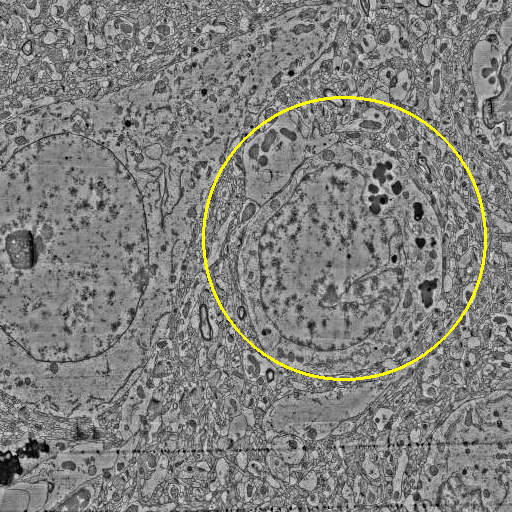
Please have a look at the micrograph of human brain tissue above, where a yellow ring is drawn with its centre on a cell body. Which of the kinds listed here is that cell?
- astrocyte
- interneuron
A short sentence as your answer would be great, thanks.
At the centre of the ring sits an interneuron.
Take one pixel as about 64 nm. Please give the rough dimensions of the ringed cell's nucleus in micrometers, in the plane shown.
In this plane the nucleus measures roughly 12 by 9 micrometers.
